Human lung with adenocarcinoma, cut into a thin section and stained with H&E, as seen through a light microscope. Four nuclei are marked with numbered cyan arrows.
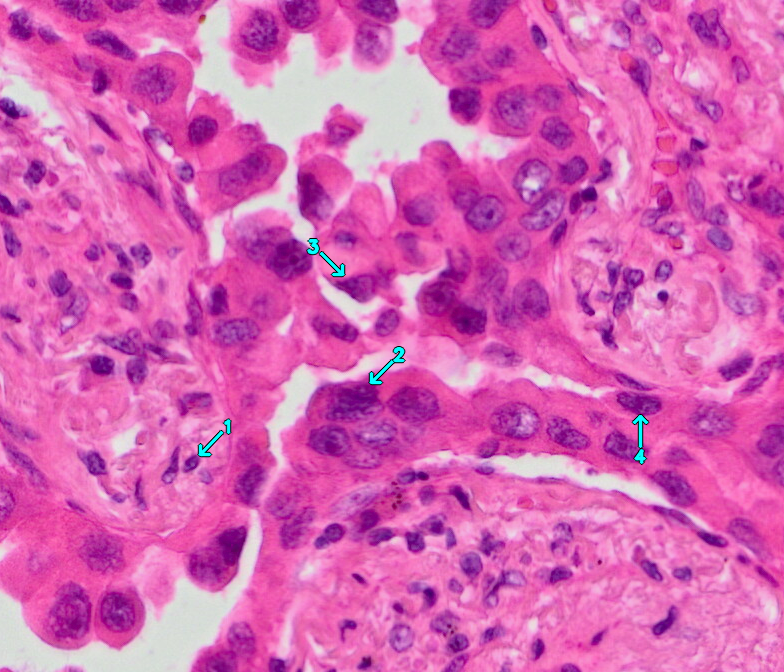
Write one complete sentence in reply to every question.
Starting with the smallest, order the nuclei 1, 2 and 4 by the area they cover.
The order from the smallest nucleus to the largest is 1, 4, 2.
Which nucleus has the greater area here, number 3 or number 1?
At about 4 times the area of nucleus 1, nucleus 3 is the larger of the two.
